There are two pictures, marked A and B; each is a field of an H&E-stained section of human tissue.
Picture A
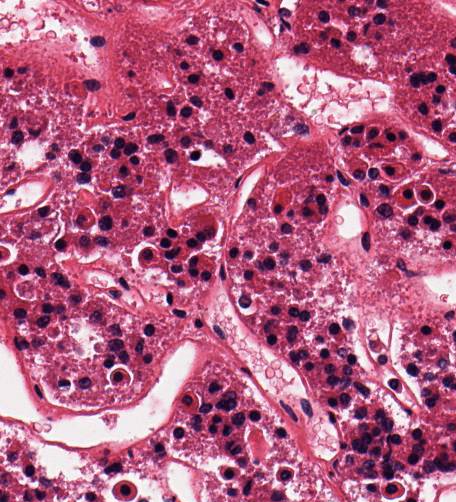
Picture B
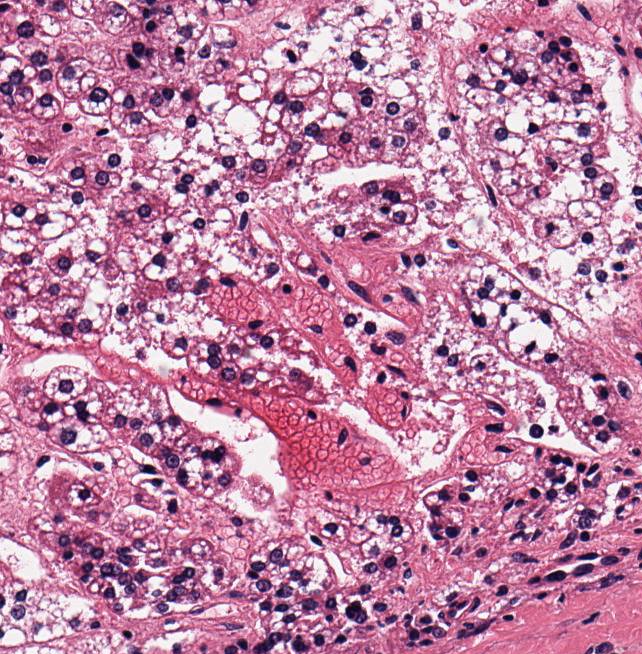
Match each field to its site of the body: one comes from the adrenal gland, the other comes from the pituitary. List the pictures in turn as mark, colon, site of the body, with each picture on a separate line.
A: pituitary
B: adrenal gland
